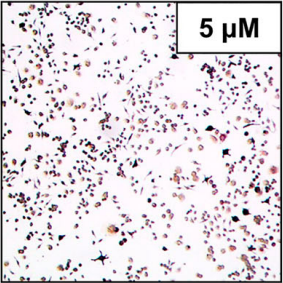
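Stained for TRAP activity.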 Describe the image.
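Many cells are round and pale brownish, others are smaller, darker and spindle-shaped or star-like with short processes. No large multinucleated stained cells are present.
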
